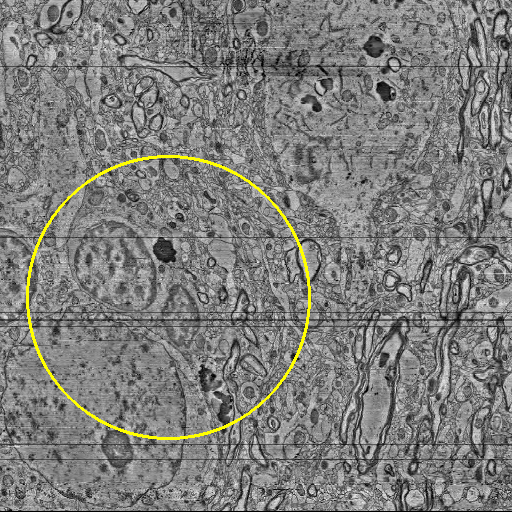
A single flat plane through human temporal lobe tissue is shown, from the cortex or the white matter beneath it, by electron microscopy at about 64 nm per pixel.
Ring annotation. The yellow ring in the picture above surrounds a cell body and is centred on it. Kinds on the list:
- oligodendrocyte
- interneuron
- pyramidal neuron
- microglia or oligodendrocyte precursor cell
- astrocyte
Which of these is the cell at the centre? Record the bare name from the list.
oligodendrocyte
